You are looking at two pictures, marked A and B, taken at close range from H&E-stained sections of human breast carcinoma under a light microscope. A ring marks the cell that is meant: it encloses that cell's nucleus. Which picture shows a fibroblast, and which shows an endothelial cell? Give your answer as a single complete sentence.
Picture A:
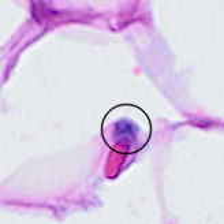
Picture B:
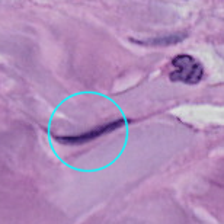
In picture A the cell is an endothelial cell; in picture B, a fibroblast.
